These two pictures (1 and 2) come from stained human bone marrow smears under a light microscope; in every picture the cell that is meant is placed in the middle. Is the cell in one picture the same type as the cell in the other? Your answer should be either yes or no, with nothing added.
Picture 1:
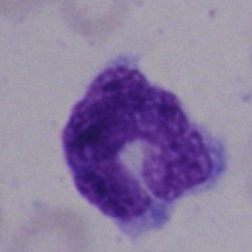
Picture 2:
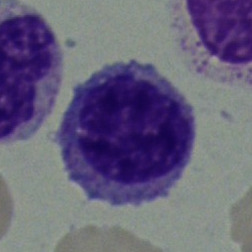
yes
